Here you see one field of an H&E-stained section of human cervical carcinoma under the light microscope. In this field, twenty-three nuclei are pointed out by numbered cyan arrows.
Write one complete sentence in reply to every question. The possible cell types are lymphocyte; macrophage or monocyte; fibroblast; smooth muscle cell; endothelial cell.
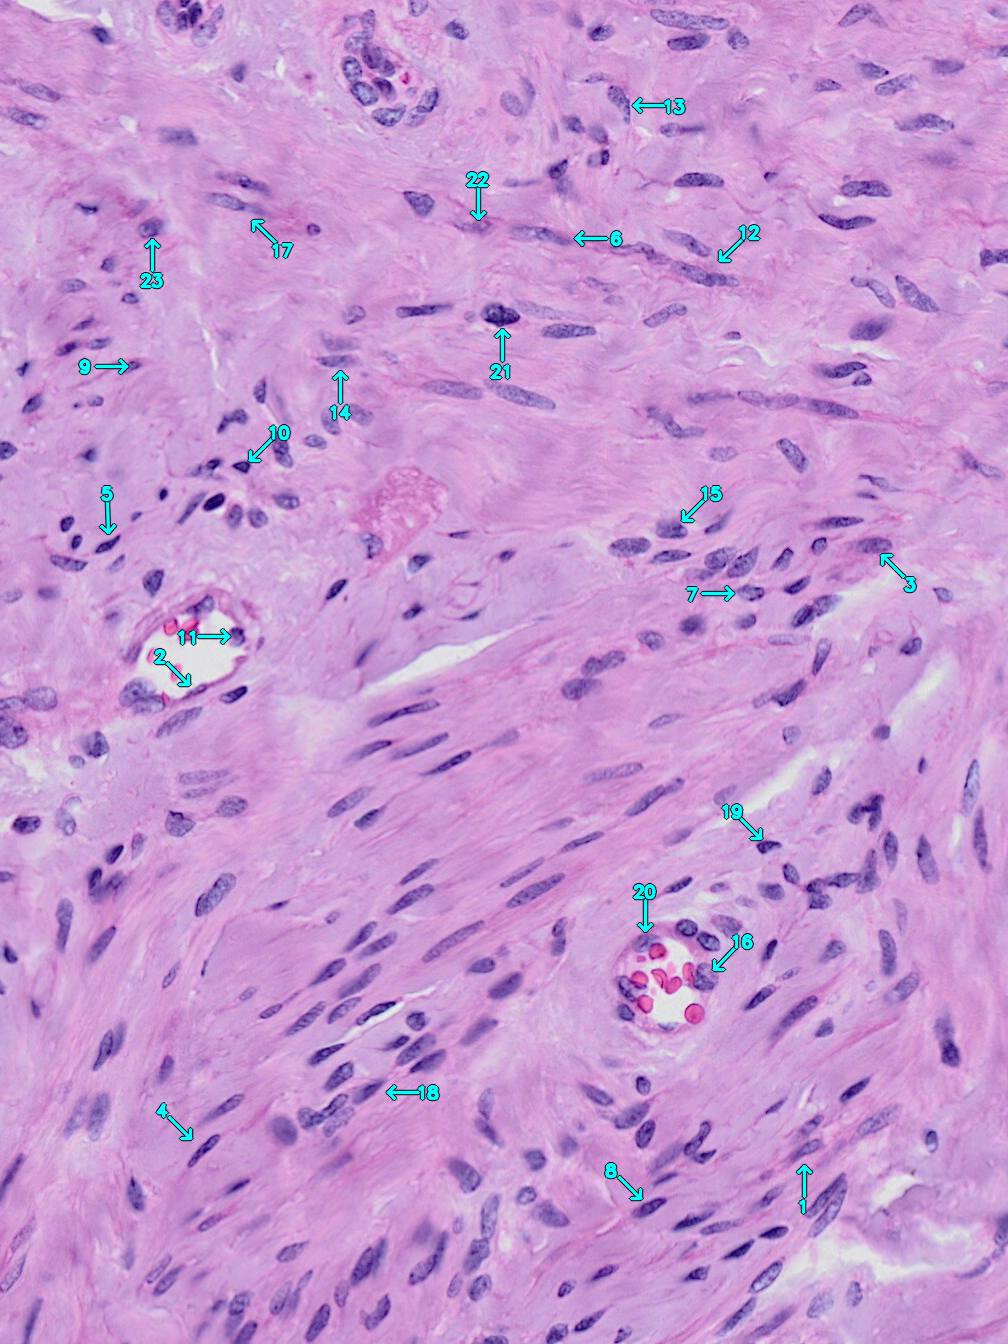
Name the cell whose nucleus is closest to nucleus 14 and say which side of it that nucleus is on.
The nearest one is a fibroblast, found above nucleus 14.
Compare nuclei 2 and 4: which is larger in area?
Nucleus 4 is the larger one, covering about 2 times the area of nucleus 2.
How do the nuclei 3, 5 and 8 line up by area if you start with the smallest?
Smallest first, the nuclei run 5, 8, 3.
